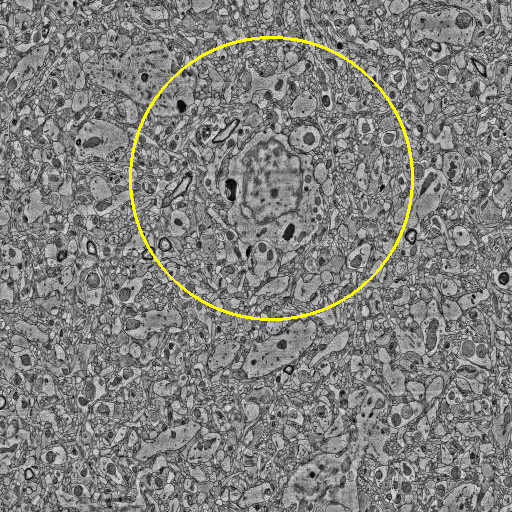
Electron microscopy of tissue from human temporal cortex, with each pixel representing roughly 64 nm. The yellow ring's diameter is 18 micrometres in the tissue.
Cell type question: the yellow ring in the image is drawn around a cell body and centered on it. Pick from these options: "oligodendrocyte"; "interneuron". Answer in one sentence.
The ringed cell at the center is an interneuron.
